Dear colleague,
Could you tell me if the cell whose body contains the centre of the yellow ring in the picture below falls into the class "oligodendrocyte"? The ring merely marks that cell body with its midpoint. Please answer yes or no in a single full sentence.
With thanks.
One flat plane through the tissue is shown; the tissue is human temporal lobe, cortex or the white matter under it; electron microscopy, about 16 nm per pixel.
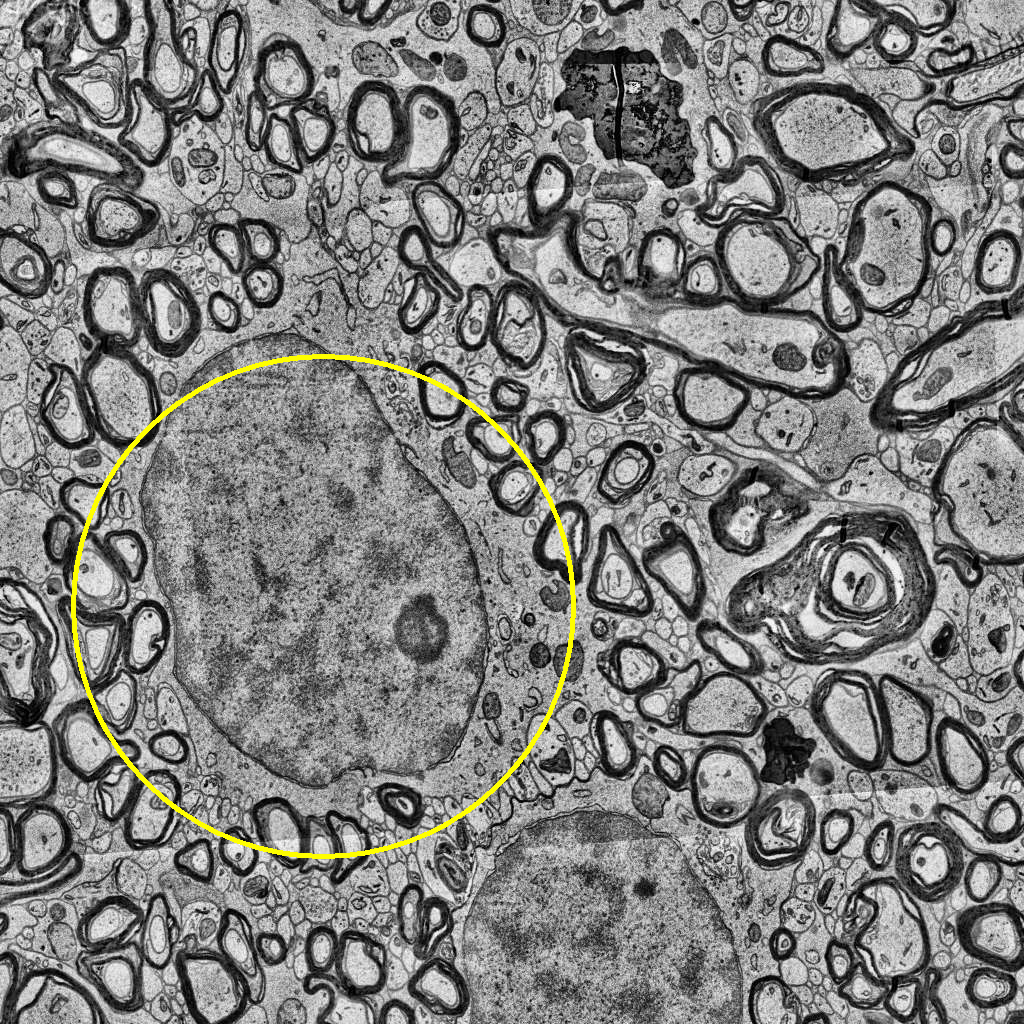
Yes, the cell containing the centre of the ring in your picture falls into that class.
